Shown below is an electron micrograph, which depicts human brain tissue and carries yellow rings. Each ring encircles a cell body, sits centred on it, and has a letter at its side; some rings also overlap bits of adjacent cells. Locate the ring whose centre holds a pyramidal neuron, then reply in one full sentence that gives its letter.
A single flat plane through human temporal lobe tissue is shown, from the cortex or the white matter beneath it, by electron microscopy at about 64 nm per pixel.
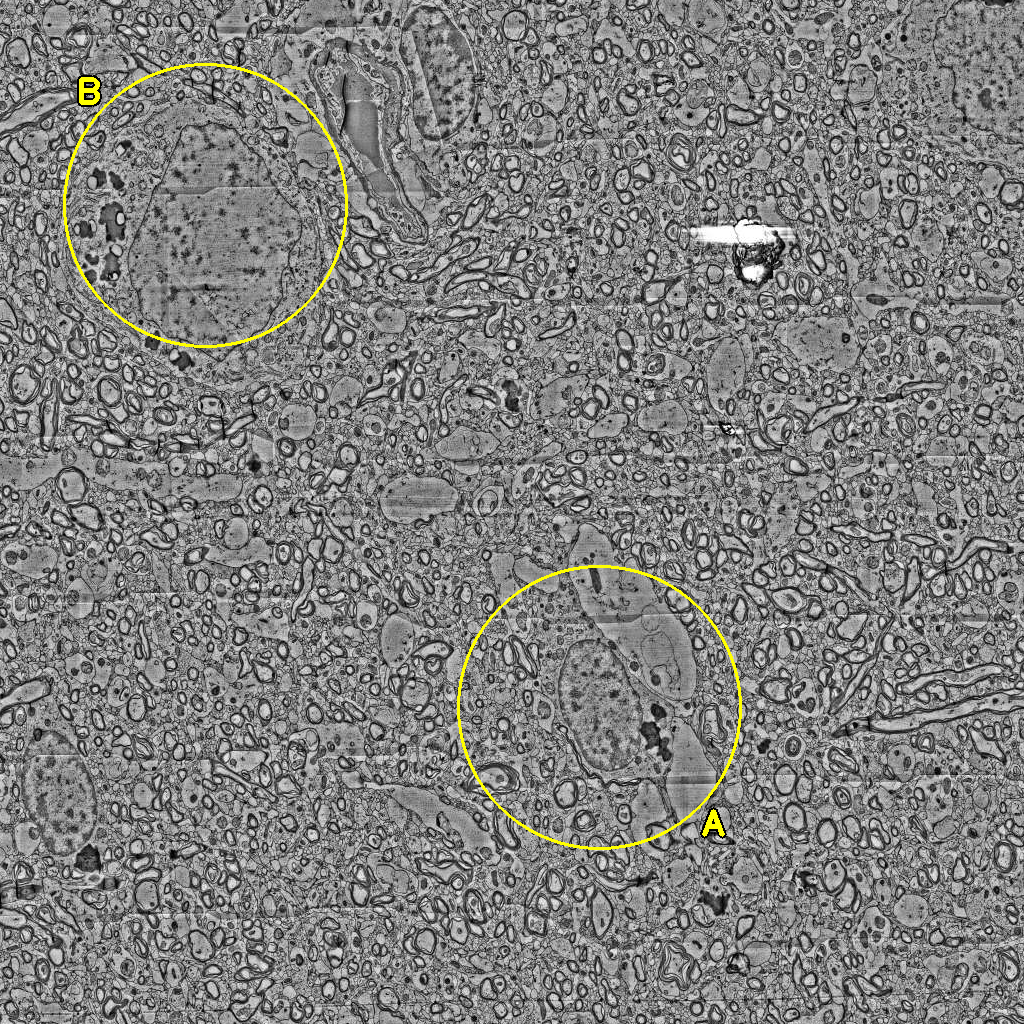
The ring centred on the cell asked for is the one marked B.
